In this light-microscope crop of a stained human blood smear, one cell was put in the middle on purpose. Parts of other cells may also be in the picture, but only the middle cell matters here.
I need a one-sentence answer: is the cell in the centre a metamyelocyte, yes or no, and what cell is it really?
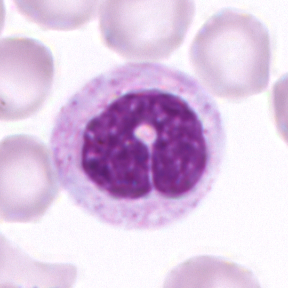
No, the label for the central cell is a band neutrophil, not a metamyelocyte.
